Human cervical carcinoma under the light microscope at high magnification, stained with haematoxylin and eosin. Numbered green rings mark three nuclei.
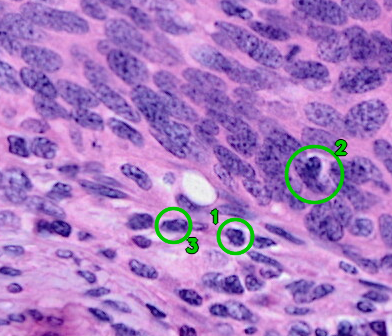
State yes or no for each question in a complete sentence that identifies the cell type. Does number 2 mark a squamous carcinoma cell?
Yes, the cell denoted by 2 is a squamous carcinoma cell.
